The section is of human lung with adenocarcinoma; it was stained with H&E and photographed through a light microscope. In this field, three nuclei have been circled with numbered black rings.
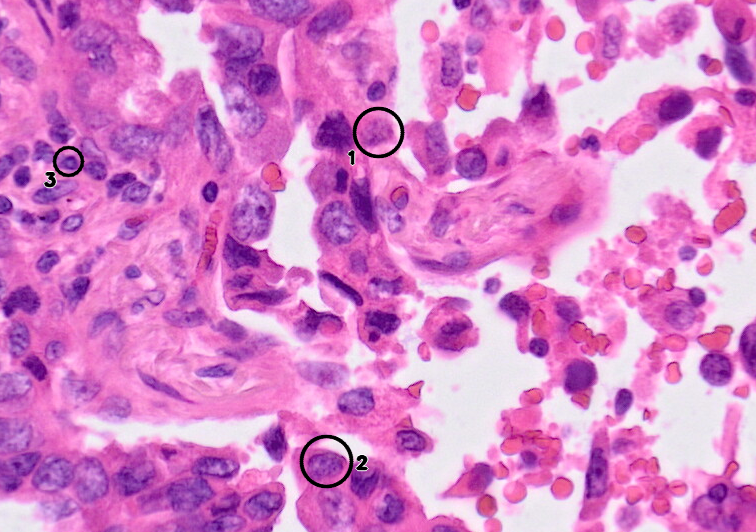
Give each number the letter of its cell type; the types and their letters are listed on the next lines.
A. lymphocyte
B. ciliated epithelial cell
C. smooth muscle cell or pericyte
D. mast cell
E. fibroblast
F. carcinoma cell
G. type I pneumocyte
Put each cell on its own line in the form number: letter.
1: F
2: F
3: A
